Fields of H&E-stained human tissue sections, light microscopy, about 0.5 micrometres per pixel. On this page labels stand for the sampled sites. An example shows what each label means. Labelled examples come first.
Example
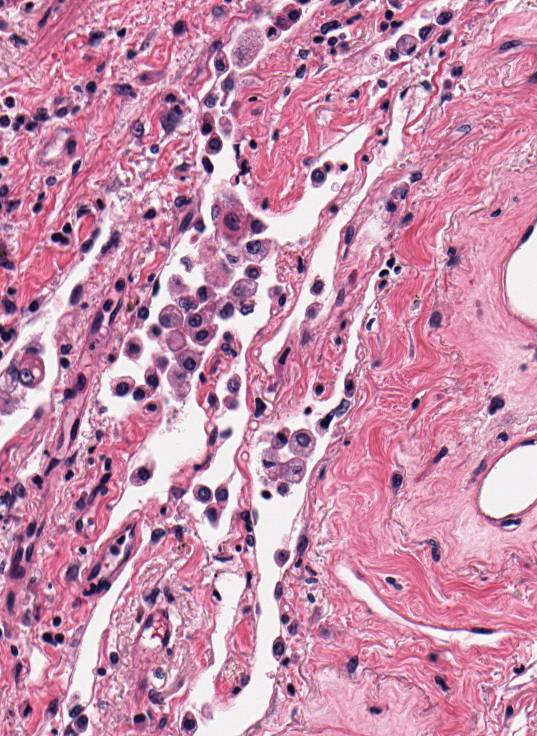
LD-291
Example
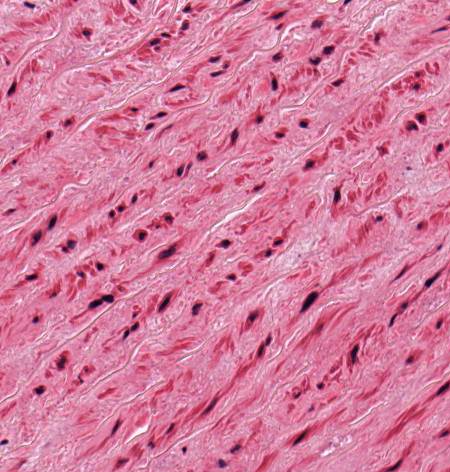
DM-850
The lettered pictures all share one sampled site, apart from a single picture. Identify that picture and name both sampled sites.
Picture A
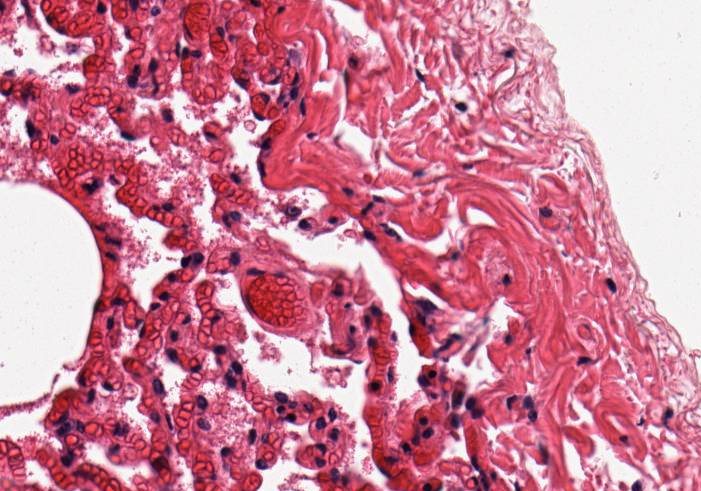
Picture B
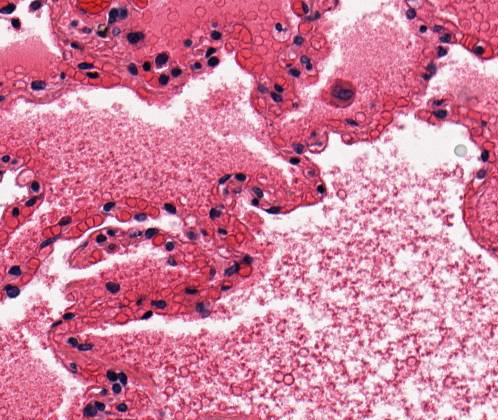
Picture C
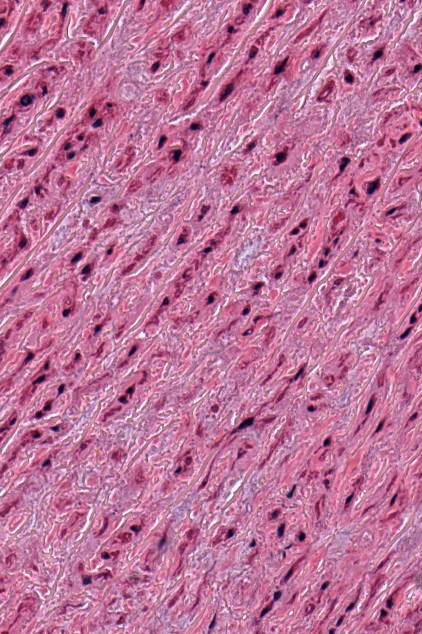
Exception: C, showing DM-850. Remaining pictures: LD-291.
